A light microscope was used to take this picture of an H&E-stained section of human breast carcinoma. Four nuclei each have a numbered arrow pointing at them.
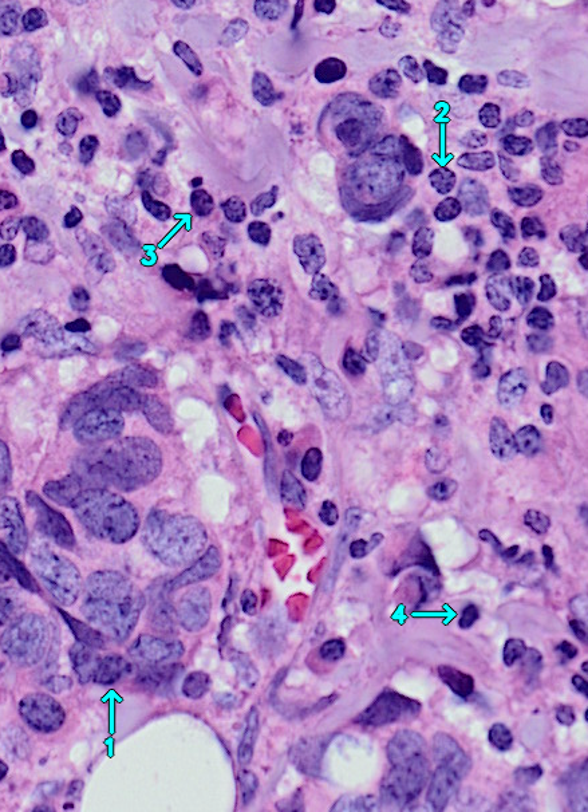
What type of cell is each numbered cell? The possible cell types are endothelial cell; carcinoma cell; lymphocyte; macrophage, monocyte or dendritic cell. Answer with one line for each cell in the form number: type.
1: carcinoma cell
2: lymphocyte
3: lymphocyte
4: lymphocyte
